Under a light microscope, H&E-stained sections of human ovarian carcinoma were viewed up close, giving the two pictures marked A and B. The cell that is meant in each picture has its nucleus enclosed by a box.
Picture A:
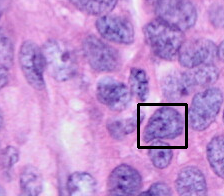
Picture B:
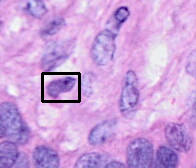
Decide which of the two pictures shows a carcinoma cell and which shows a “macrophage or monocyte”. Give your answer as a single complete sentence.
Picture A shows a carcinoma cell and picture B shows a “macrophage or monocyte”.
